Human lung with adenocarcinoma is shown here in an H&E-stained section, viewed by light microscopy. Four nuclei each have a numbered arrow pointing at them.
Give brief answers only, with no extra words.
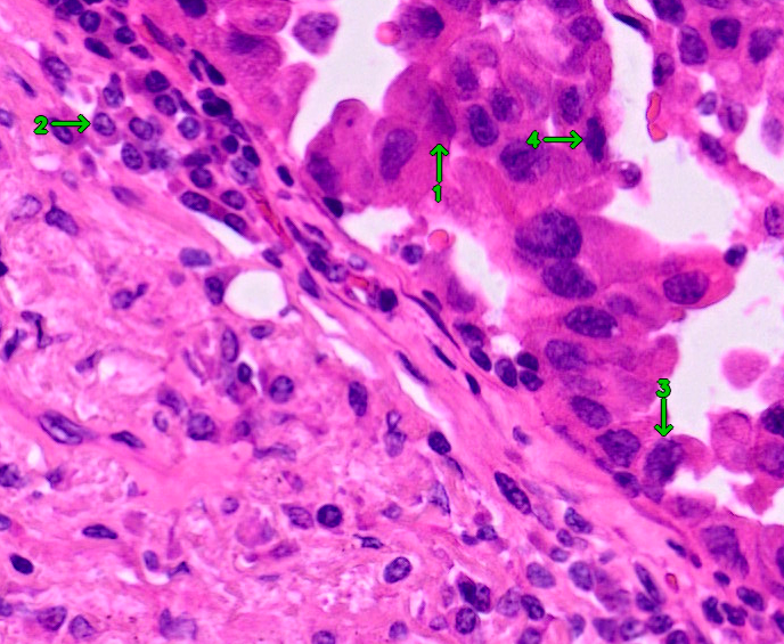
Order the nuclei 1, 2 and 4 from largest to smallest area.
1, 4, 2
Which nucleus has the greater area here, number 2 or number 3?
3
